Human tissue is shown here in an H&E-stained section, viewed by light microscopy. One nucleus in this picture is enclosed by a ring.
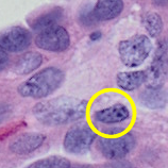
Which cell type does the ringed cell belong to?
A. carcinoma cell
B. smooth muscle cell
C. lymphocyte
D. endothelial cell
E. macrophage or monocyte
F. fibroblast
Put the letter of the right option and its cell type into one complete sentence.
As the ringed cell is a macrophage or monocyte, the correct choice is option E.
